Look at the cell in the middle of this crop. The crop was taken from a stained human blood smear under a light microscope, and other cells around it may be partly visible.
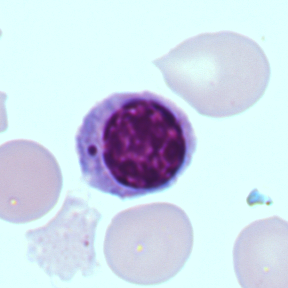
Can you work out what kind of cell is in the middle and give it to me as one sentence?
The middle cell in this particular crop is an erythroblast.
